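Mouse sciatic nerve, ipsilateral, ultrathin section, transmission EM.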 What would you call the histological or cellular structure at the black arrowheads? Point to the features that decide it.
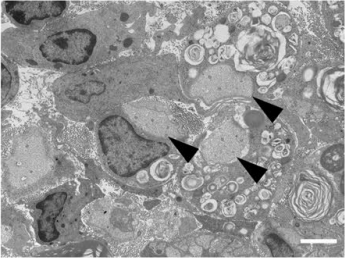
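Demyelinated axons. The arrowheads point at large pale round profiles. These profiles have no dark lamellar ring around them.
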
